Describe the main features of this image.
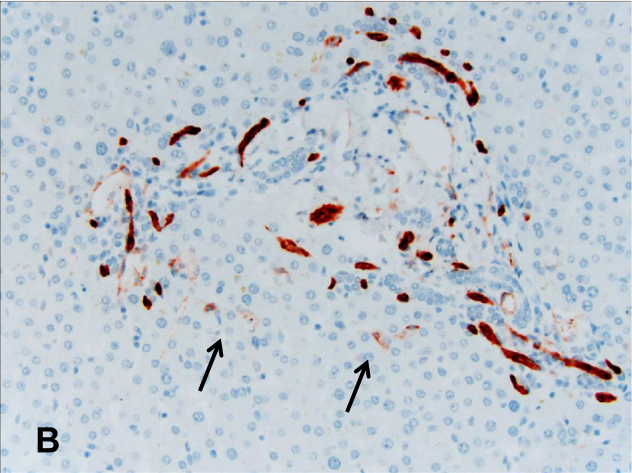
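A portal tract of connective tissue with several vessel lumens and small cells lies among plates of polygonal hepatocytes with round blue nuclei. Within the portal tract, many small elongated and round vascular profiles are stained strongly brown, while only a few faint brown lines extend into the sinusoids just around its edge.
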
